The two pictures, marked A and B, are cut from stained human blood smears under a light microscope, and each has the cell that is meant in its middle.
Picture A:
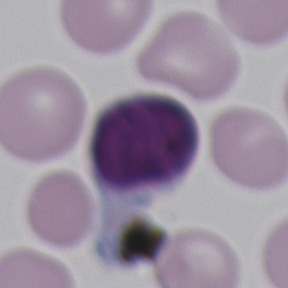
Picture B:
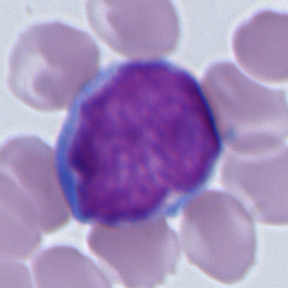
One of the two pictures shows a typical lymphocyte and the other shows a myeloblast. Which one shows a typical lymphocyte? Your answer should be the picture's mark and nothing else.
A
